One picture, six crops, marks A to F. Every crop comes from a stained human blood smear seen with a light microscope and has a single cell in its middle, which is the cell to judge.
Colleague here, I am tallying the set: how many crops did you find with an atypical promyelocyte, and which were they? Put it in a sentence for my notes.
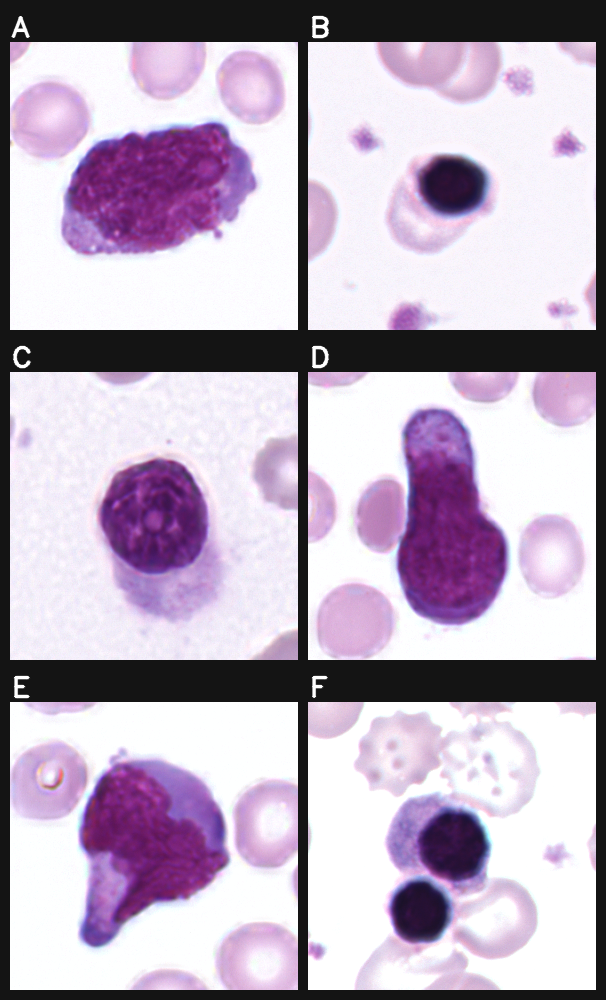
The total of crops with atypical promyelocytes is three, comprising A, D and E.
